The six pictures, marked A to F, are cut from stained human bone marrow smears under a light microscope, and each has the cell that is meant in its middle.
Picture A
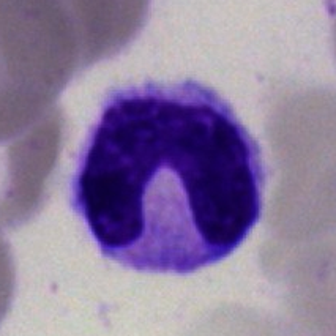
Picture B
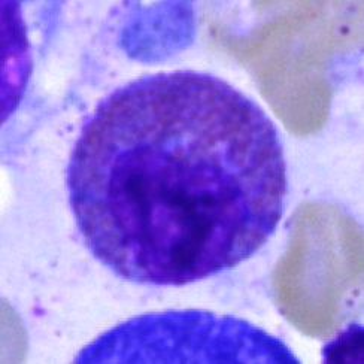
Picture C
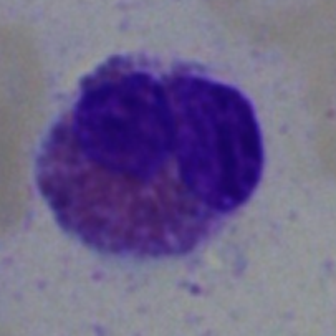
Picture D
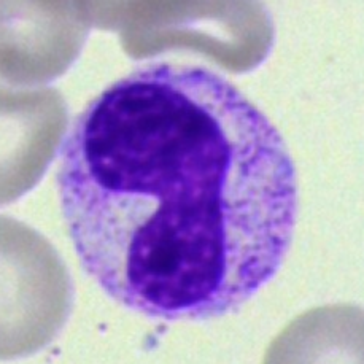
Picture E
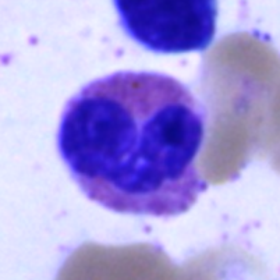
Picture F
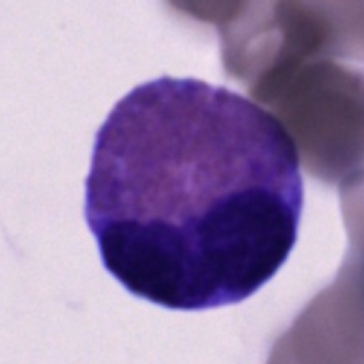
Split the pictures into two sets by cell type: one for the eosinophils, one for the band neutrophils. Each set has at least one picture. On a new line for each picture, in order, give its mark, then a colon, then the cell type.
A: band neutrophil
B: eosinophil
C: eosinophil
D: band neutrophil
E: eosinophil
F: eosinophil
